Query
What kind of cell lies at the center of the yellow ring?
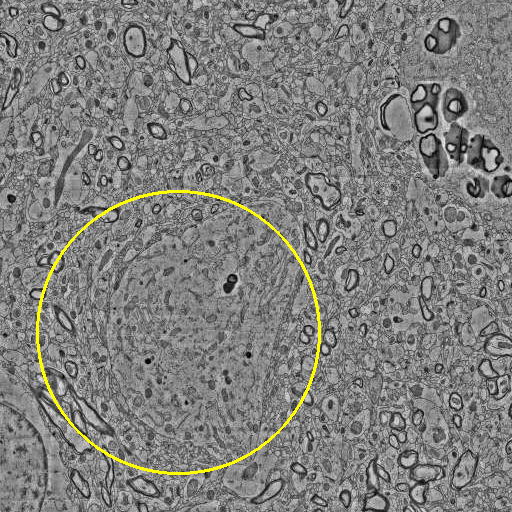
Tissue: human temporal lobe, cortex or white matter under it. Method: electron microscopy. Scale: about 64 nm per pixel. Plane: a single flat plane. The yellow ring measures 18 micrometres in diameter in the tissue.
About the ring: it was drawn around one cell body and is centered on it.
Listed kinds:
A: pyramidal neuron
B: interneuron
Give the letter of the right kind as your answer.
A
